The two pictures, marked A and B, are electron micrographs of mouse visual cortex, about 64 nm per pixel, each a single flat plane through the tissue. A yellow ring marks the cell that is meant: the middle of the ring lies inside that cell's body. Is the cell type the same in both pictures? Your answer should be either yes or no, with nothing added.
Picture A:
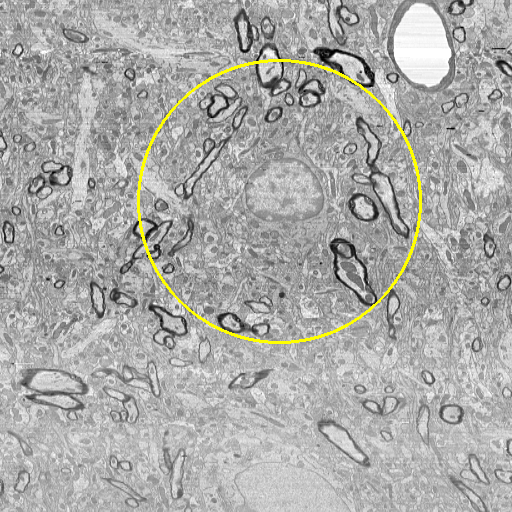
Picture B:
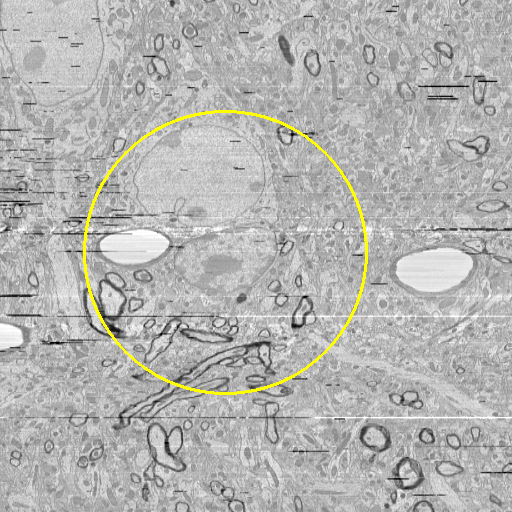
yes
